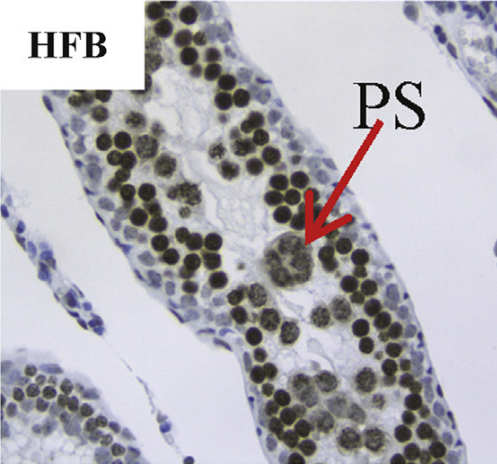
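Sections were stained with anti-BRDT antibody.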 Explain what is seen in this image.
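A seminiferous tubule cut lengthwise contains germ cells with round, dark brown stained nuclei lined up along both walls. The center is loosened, with pale, vacuolated spaces between the cells. One large rounded body in the middle holds several grouped nuclei and is much bigger than the single germ cells beside it. Cells at the tubule border and in the surrounding tissue have blue-stained, elongated nuclei.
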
